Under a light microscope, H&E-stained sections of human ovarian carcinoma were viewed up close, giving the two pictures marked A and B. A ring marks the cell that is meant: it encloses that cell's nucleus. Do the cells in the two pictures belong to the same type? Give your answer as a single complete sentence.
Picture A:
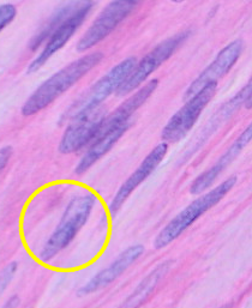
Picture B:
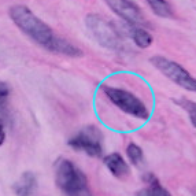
Yes, both cells are smooth muscle cells.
